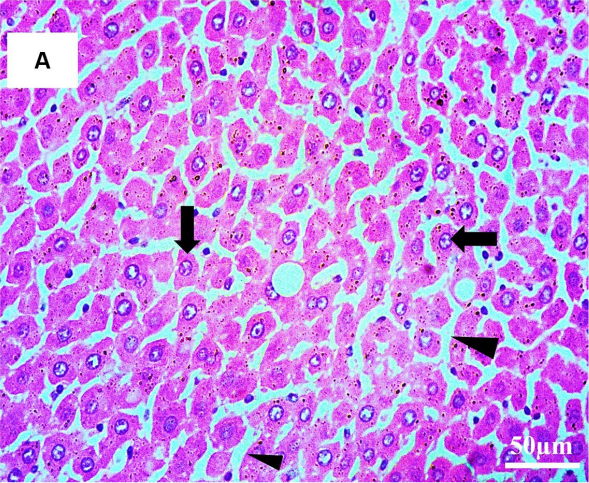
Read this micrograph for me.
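Cords of large polygonal liver cells with pink, finely granular cytoplasm and round, centrally placed nuclei with clear nucleoli fill the field. Pale sinusoidal spaces run between the cords, with small flattened nuclei along some of them. A few small round clear spaces lie among the cells.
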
